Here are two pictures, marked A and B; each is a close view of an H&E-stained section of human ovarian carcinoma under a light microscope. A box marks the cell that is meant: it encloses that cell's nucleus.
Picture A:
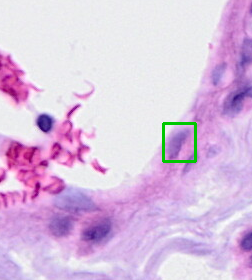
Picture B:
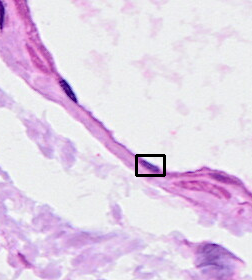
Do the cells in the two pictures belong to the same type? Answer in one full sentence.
Yes, both are endothelial cells.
